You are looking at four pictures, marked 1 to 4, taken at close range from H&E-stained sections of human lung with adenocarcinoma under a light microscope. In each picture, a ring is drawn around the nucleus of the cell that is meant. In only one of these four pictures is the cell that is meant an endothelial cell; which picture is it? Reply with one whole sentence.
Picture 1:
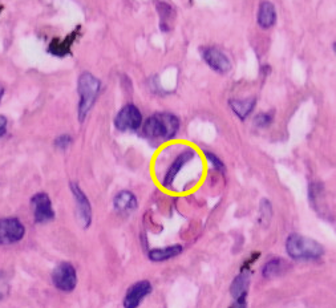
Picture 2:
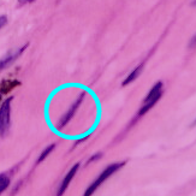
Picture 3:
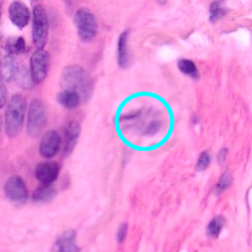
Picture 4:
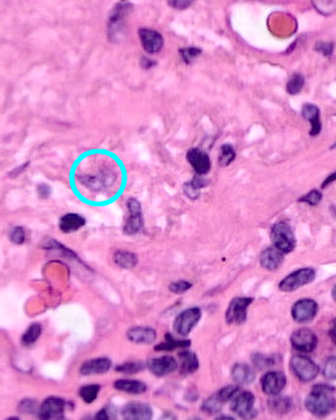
It is picture 1 that shows the endothelial cell.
